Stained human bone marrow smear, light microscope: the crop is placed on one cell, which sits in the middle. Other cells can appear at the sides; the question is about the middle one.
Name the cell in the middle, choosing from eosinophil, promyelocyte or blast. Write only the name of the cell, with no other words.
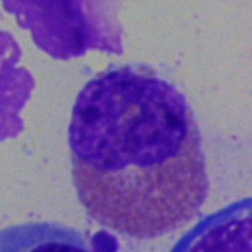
eosinophil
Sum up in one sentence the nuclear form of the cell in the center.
Its nucleus is compact and single, with a round, oval or kidney-shaped form.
